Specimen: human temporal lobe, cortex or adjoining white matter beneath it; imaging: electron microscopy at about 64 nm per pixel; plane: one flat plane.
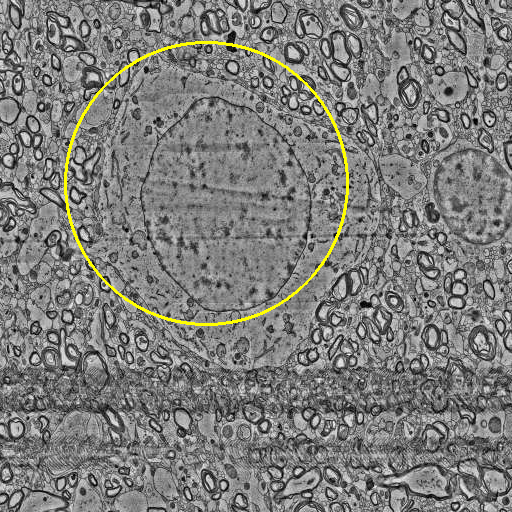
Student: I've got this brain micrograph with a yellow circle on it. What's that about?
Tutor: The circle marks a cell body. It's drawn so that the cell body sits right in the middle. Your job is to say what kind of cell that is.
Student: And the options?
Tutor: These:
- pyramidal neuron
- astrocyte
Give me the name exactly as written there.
pyramidal neuron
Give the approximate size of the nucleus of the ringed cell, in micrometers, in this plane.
In this plane, roughly 14 by 11 micrometres.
